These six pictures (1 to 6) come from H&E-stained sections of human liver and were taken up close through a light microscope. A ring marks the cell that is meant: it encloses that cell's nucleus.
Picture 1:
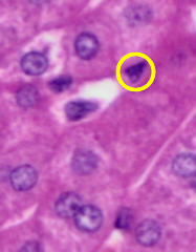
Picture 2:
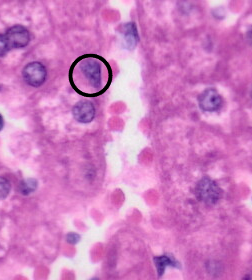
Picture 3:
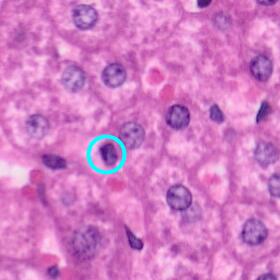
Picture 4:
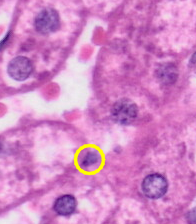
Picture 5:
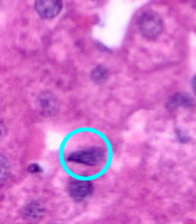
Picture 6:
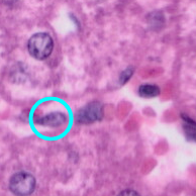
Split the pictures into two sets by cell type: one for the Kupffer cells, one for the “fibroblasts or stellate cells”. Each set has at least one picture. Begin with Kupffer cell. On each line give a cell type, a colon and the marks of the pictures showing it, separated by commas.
Kupffer cell: 3, 6
fibroblast or stellate cell: 1, 2, 4, 5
